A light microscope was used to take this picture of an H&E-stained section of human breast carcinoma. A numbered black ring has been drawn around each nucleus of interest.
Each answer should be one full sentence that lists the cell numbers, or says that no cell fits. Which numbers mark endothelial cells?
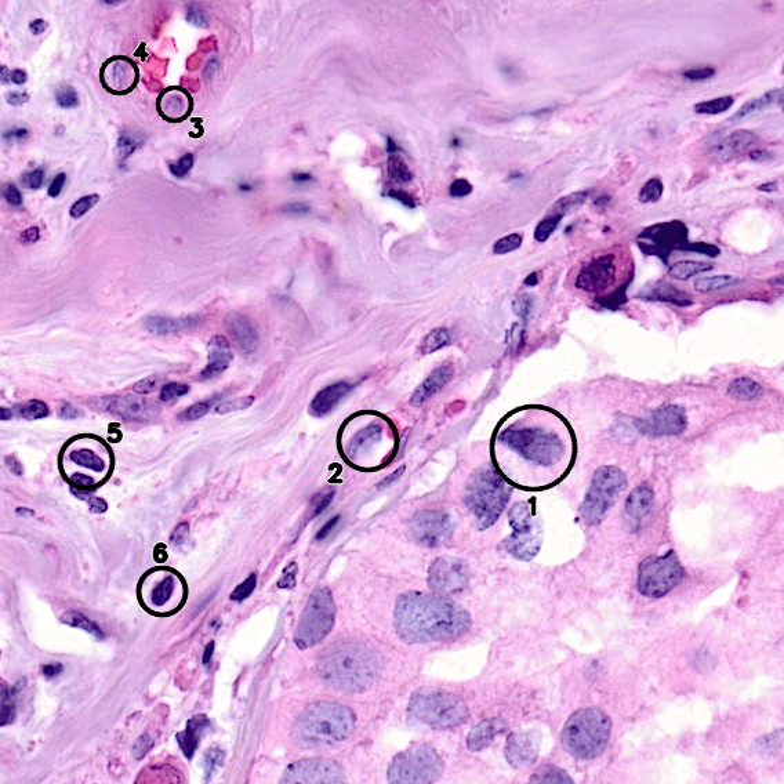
Identified as endothelial cells are the cells numbered 2, 3 and 4.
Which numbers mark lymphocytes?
In terms of cell type, cells 5 and 6 are lymphocytes.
